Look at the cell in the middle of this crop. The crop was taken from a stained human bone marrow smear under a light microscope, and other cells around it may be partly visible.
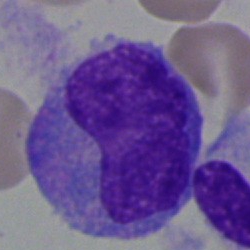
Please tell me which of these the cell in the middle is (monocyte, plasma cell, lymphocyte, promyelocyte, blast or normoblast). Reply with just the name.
monocyte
